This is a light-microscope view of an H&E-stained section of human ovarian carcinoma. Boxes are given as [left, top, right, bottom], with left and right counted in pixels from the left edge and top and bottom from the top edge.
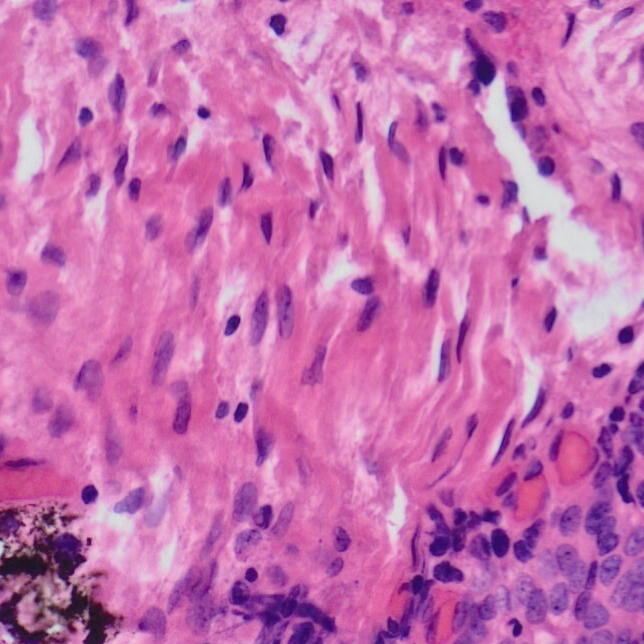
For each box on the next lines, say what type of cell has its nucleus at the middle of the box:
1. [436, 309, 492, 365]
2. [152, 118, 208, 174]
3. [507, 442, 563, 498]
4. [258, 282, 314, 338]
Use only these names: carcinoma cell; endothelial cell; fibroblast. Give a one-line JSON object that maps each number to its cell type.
{"1": "fibroblast", "2": "fibroblast", "3": "endothelial cell", "4": "fibroblast"}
